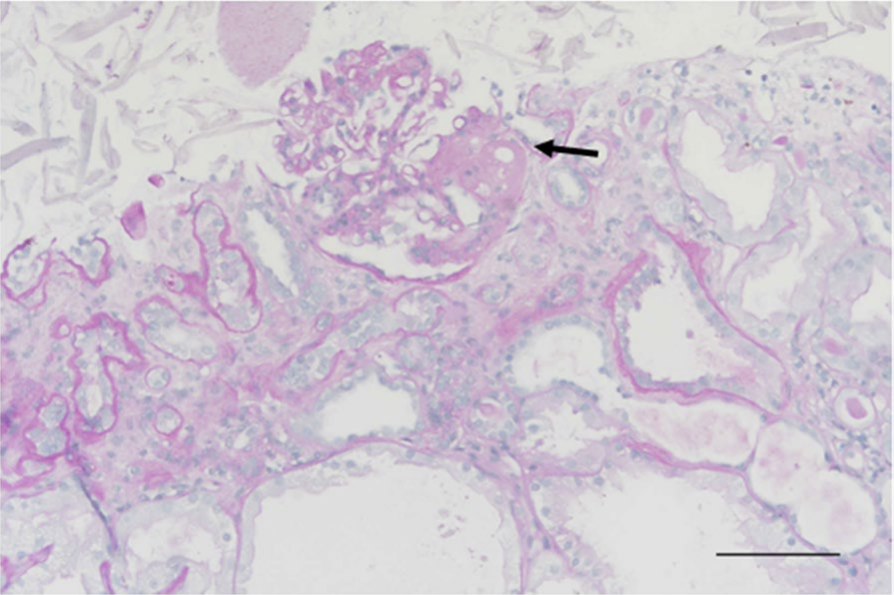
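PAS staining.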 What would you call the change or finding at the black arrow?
Hyalinosis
